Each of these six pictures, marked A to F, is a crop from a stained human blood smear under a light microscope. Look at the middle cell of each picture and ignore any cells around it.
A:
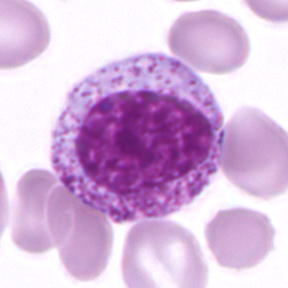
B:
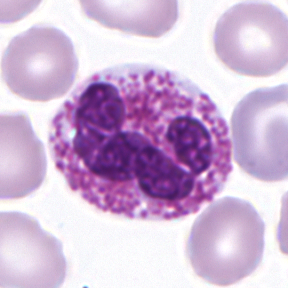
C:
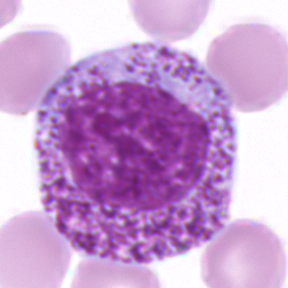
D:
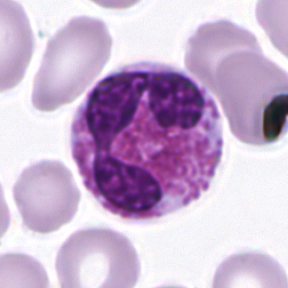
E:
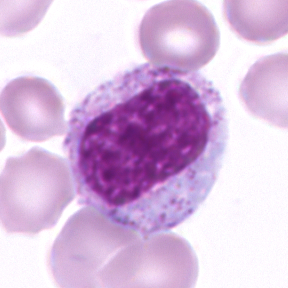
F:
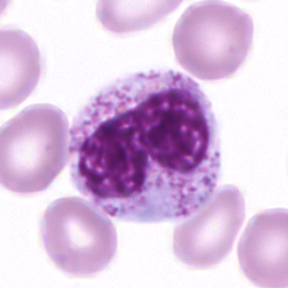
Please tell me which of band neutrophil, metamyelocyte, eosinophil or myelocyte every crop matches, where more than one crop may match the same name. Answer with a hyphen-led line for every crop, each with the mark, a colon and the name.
- A: metamyelocyte
- B: eosinophil
- C: myelocyte
- D: eosinophil
- E: metamyelocyte
- F: band neutrophil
